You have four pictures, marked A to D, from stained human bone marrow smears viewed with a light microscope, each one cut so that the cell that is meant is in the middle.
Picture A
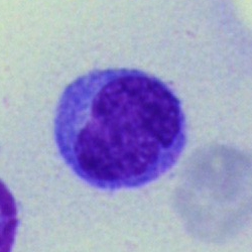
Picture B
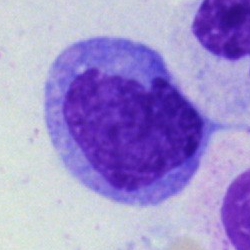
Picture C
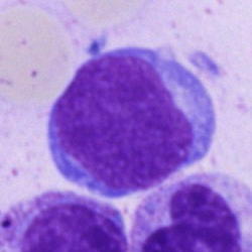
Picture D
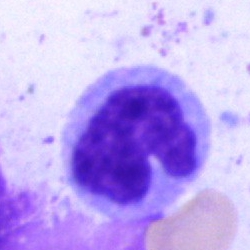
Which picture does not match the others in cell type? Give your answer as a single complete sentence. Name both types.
Picture C differs, because its cell is a blast and the rest are monocytes.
